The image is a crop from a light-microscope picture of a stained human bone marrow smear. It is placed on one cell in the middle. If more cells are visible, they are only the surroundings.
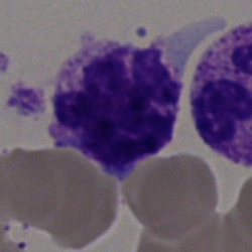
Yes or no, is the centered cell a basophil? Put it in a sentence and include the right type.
Yes, the middle cell in this crop is a basophil.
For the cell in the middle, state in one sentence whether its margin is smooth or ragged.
A ragged or projecting edge replaces the smooth outline in this cell.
